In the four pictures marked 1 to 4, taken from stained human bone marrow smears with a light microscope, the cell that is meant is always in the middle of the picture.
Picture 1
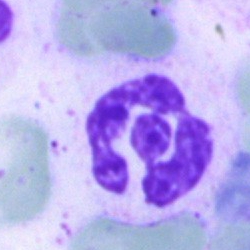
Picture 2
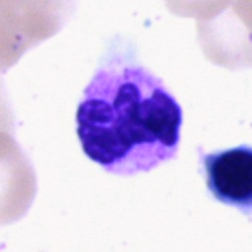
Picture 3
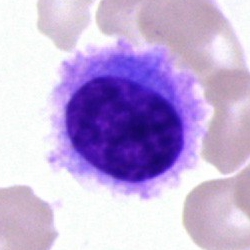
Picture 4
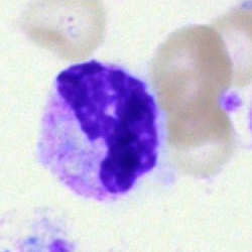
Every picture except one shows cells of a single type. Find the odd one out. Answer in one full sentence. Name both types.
Picture 3 differs, because its cell is a hairy cell and the rest are segmented neutrophils.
